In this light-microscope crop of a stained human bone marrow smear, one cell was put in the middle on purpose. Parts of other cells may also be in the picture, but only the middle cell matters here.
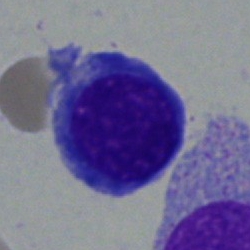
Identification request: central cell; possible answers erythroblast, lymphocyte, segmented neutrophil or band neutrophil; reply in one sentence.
The crop's centre is taken up by an erythroblast.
